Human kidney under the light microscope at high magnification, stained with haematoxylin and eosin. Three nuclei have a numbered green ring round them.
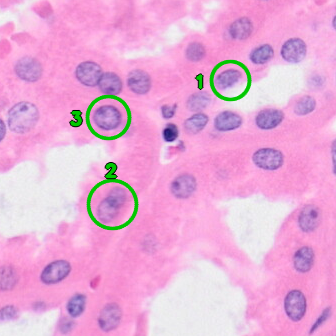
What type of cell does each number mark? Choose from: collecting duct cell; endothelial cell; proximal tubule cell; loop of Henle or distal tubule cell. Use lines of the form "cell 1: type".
cell 1: collecting duct cell
cell 2: proximal tubule cell
cell 3: proximal tubule cell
